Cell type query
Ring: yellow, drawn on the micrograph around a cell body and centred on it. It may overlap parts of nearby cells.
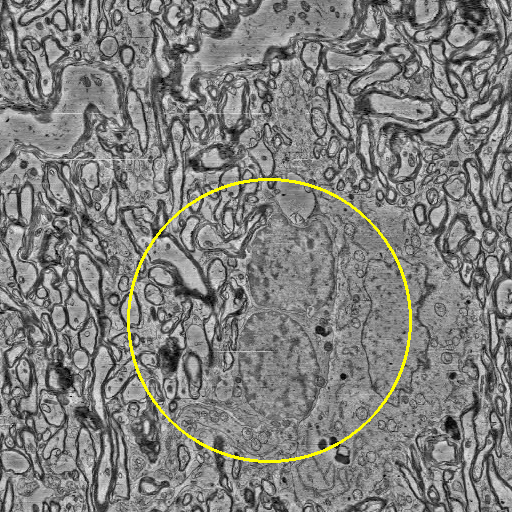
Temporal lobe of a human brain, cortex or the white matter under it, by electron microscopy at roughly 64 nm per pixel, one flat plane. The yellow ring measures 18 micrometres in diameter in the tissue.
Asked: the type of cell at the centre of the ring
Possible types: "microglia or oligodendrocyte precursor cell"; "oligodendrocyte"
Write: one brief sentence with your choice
The ring marks an oligodendrocyte.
